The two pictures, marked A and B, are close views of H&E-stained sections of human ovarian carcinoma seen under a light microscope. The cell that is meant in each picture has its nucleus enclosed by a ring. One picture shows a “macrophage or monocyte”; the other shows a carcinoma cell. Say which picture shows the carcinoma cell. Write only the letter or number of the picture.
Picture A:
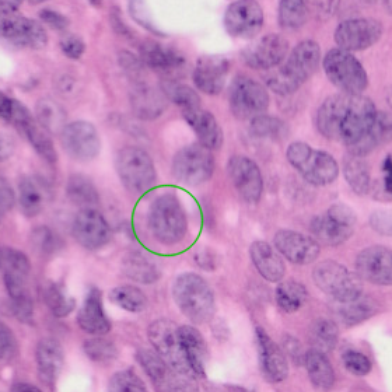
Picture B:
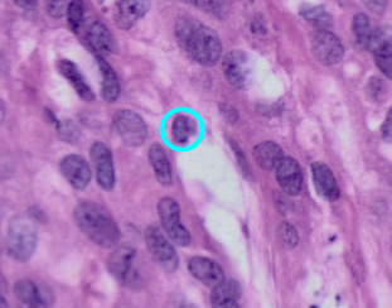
A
